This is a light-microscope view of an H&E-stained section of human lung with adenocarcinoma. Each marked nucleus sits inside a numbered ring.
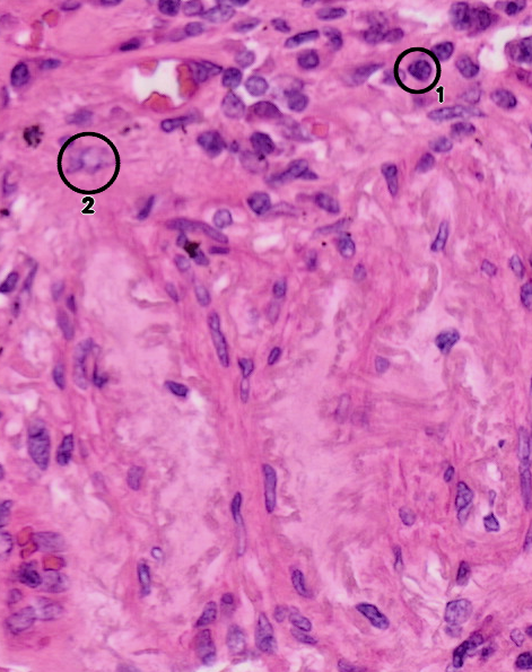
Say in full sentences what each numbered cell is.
Cell 1 is a lymphocyte and cell 2 is a fibroblast.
